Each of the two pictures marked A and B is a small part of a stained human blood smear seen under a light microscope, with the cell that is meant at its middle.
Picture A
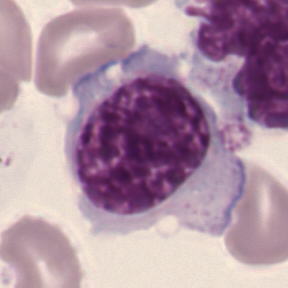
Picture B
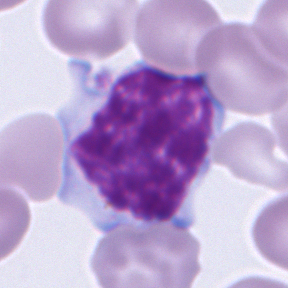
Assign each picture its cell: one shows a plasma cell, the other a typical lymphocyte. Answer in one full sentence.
In picture A the cell is a plasma cell; in picture B, a typical lymphocyte.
